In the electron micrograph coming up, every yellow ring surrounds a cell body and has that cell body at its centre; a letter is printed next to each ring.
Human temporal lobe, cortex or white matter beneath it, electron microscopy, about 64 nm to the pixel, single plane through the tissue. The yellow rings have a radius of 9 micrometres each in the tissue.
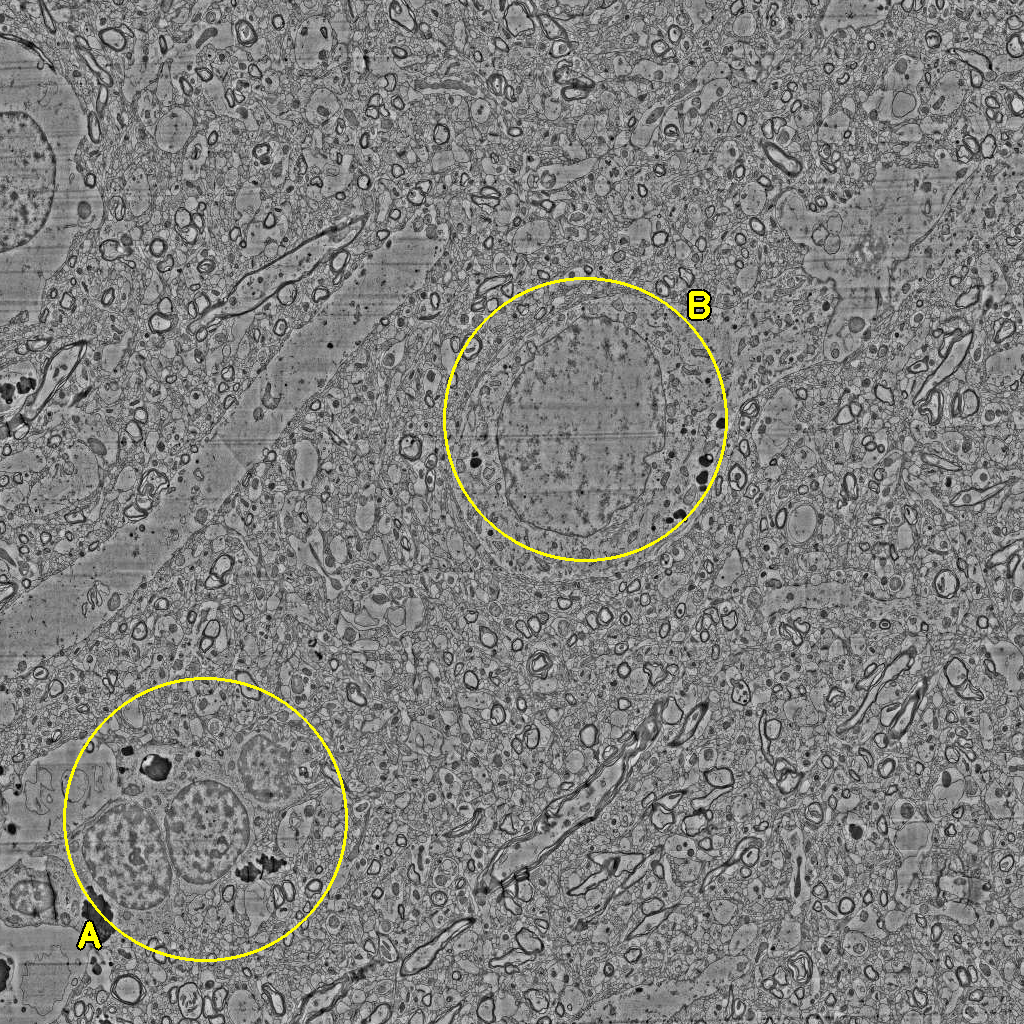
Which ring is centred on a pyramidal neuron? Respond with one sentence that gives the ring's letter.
Ring B is the one whose centre sits on the cell asked for in the picture.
